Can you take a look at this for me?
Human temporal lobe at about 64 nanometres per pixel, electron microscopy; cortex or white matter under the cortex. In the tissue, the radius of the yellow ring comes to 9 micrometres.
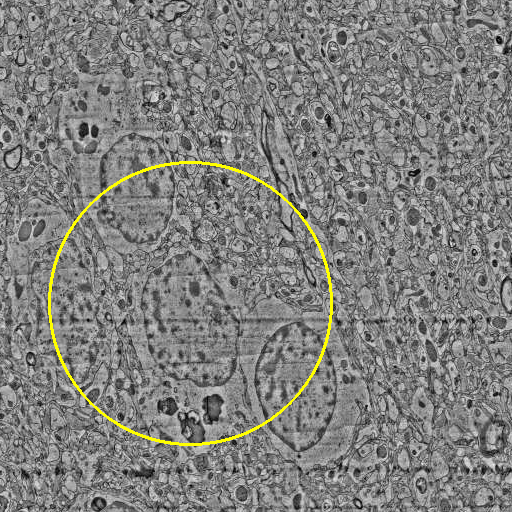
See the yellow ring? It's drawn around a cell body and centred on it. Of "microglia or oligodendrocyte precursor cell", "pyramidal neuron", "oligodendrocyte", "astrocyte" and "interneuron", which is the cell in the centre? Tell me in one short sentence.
The one in the centre is an astrocyte.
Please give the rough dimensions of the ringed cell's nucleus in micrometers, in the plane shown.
Approximately 9 micrometres long and 6 micrometres wide, in this plane.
